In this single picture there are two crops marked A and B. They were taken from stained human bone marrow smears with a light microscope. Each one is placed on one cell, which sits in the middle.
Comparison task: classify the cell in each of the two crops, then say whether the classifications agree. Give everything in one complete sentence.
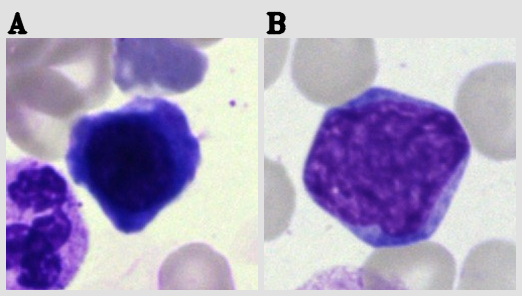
No, a blast is in crop B, and an erythroblast is in crop A.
